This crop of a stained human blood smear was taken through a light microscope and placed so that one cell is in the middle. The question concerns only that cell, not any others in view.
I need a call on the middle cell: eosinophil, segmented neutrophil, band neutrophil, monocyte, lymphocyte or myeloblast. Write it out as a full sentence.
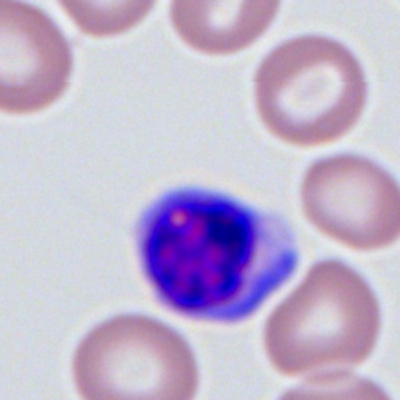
Here the centrally located cell is a lymphocyte.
